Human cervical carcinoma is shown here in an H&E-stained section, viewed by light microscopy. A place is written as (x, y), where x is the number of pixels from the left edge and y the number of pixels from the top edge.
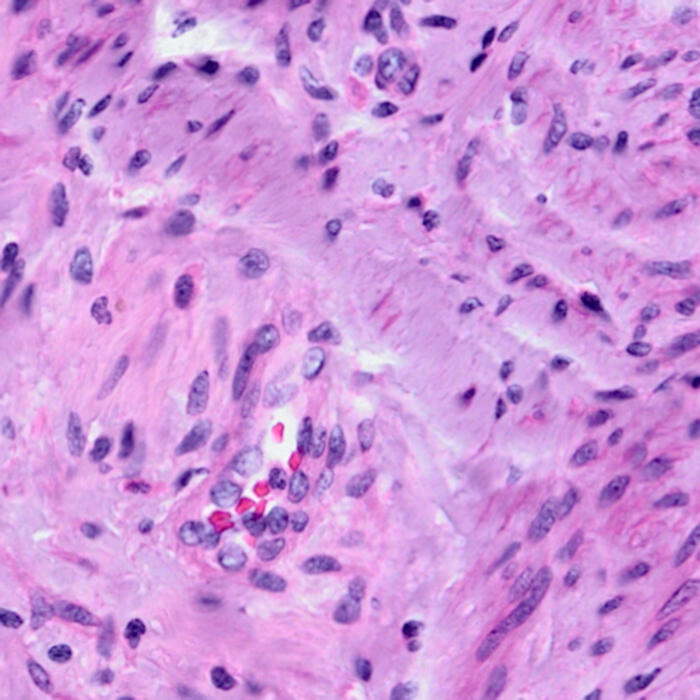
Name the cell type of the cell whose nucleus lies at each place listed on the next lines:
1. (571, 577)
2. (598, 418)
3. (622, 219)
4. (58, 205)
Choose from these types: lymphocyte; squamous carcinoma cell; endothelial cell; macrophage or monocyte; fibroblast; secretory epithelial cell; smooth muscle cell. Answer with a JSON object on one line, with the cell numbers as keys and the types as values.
{"1": "smooth muscle cell", "2": "smooth muscle cell", "3": "smooth muscle cell", "4": "fibroblast"}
